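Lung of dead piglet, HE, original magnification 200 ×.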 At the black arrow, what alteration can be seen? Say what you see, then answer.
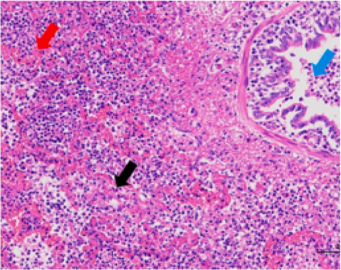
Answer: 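Inflammatory cell infiltration. Lung tissue is densely packed with small round cells with dark purple nuclei. Alveolar spaces are largely filled and obliterated.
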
